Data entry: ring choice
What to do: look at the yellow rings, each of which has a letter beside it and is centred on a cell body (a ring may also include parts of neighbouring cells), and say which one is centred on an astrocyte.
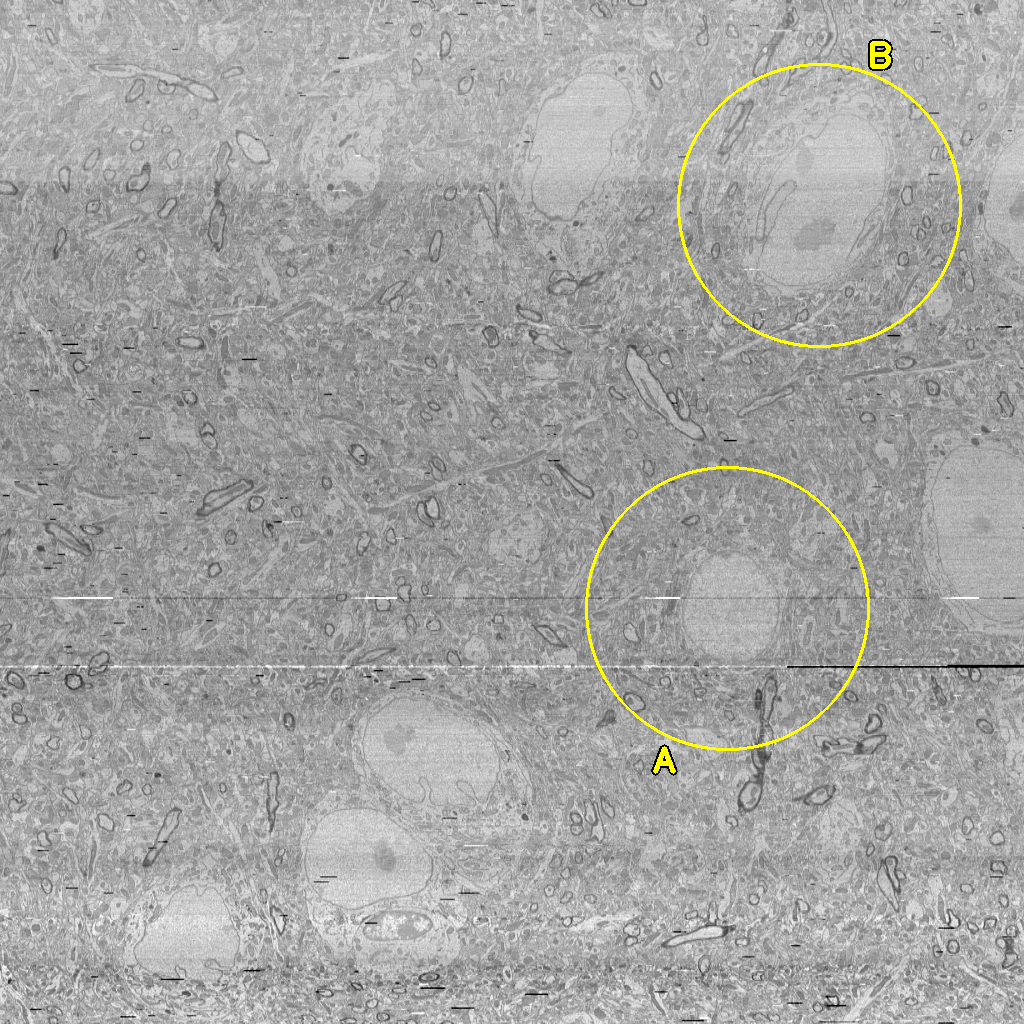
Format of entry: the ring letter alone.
A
